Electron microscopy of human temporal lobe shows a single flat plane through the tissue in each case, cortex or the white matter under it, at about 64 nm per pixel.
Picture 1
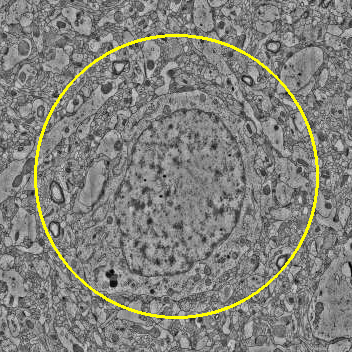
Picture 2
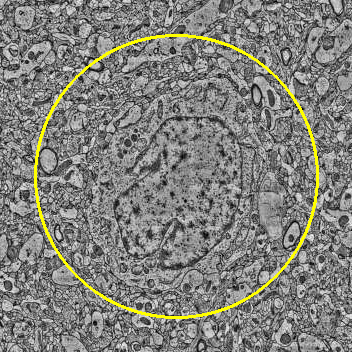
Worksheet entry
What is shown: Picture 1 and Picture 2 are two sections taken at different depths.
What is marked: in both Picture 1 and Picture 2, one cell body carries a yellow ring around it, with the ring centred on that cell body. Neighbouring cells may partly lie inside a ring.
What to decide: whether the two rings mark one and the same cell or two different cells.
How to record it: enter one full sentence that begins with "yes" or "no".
Yes, the two marked outlines come from one and the same cell.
